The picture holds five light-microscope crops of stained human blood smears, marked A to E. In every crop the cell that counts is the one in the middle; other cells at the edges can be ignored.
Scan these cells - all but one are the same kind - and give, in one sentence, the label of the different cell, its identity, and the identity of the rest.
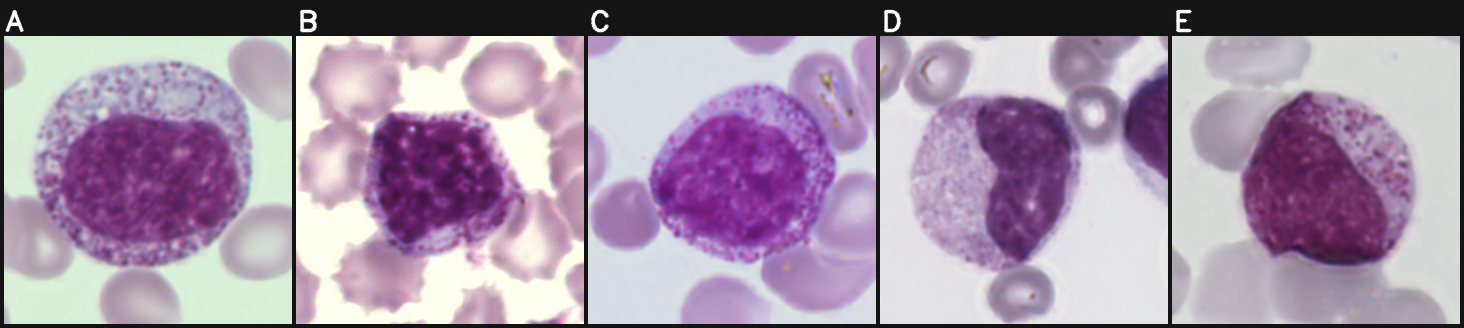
The exception is crop D: it is a metamyelocyte, and the others are all myelocytes.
